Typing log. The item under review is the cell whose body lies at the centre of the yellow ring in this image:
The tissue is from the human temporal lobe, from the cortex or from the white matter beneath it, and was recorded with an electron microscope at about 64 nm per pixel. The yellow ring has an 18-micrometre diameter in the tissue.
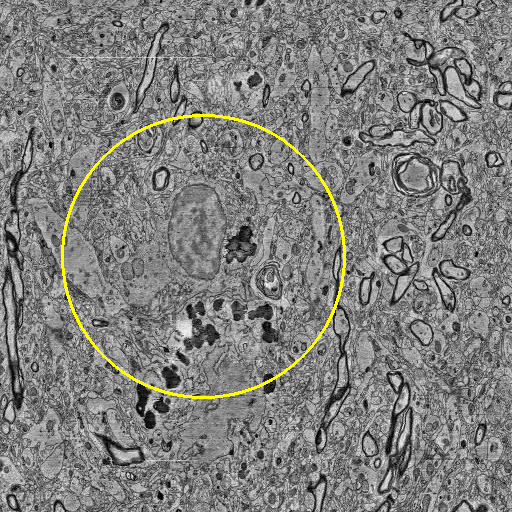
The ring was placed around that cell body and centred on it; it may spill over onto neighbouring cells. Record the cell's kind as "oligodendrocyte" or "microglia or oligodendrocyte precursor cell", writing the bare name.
oligodendrocyte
